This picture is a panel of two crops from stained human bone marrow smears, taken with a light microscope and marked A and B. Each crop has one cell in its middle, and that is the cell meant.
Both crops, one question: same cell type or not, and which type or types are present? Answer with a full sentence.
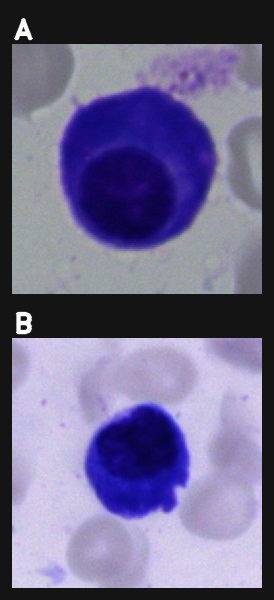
Yes, plasma cells are the cells in the middle of both crops.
